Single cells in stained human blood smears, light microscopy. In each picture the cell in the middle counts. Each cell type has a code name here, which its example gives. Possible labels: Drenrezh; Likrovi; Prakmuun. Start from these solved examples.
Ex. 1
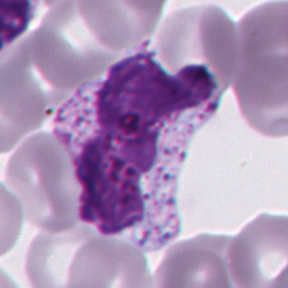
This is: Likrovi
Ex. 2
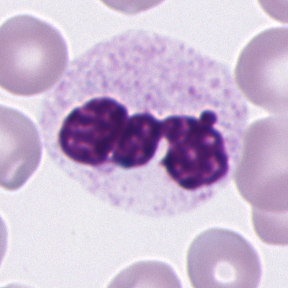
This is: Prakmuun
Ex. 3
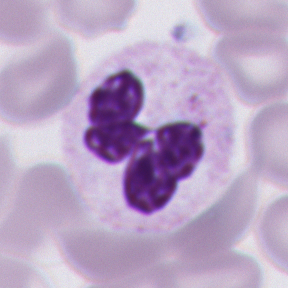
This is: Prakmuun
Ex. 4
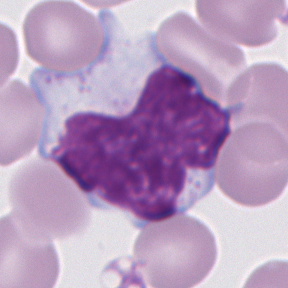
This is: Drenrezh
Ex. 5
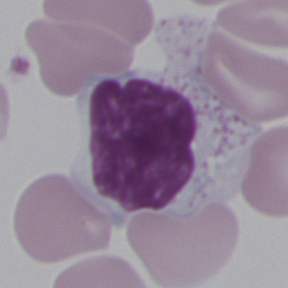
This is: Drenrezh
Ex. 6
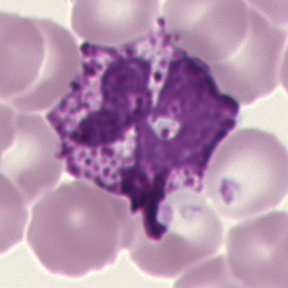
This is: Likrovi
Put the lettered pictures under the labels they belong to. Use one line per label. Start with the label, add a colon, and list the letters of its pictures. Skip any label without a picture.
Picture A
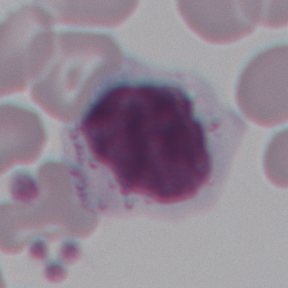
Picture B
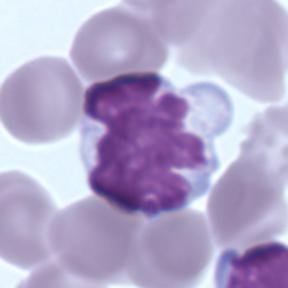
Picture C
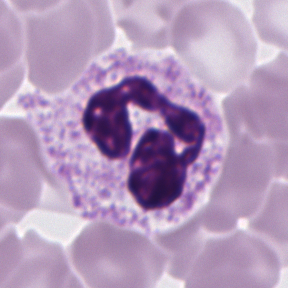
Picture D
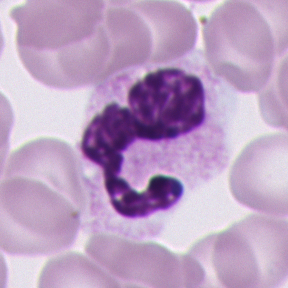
Drenrezh: A, B
Prakmuun: C, D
